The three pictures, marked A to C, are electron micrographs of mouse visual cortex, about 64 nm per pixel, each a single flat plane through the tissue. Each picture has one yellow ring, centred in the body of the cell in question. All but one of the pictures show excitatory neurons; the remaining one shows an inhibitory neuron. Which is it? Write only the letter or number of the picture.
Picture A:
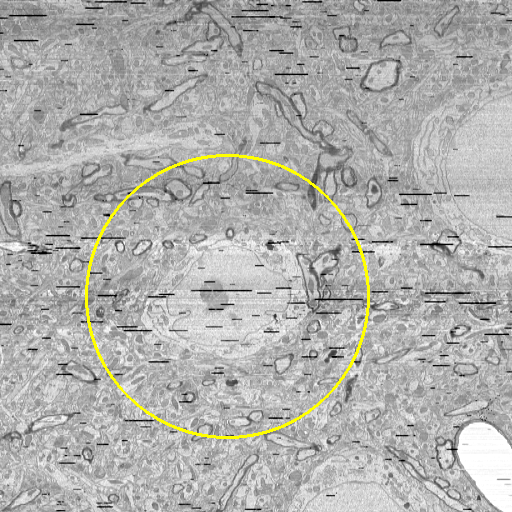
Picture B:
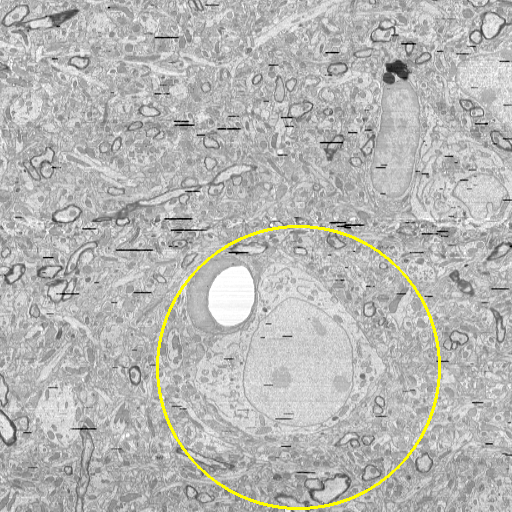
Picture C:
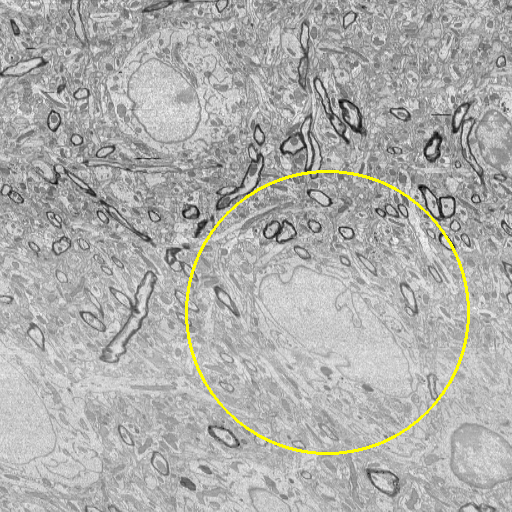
C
